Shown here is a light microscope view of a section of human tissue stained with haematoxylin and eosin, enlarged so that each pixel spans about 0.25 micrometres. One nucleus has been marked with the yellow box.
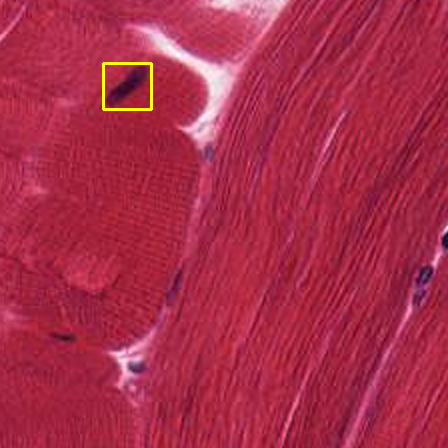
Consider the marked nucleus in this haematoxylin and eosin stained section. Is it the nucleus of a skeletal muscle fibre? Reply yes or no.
yes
